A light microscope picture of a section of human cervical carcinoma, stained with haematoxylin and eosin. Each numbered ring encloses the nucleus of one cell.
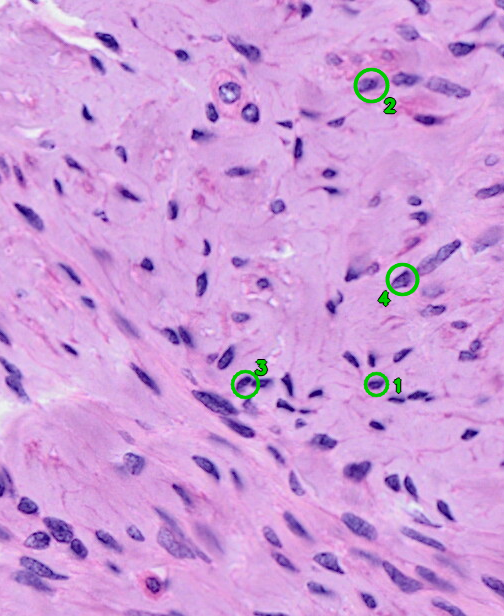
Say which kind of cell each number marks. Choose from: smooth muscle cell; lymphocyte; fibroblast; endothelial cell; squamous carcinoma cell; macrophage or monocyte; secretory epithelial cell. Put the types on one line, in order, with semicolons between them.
fibroblast; smooth muscle cell; fibroblast; fibroblast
